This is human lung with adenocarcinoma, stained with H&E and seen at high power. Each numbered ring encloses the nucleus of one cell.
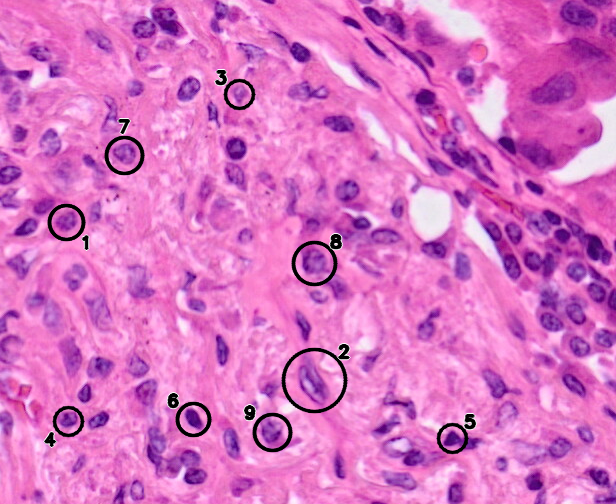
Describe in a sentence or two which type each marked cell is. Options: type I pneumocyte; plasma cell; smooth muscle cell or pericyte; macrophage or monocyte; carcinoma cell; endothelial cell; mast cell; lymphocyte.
Cell 1 is a plasma cell, cell 2 is an endothelial cell, cell 3 is a plasma cell, cell 4 is a lymphocyte, cell 5 is a lymphocyte, cell 6 is a lymphocyte, cell 7 is a plasma cell, cell 8 is a plasma cell and cell 9 is a plasma cell.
